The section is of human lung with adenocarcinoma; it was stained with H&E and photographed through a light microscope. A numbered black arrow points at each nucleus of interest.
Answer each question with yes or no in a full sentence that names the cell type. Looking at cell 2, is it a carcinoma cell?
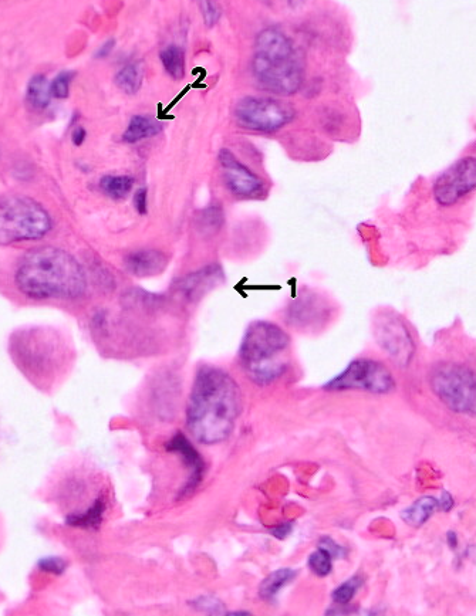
No, with respect, cell 2 is a plasma cell rather than a carcinoma cell.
